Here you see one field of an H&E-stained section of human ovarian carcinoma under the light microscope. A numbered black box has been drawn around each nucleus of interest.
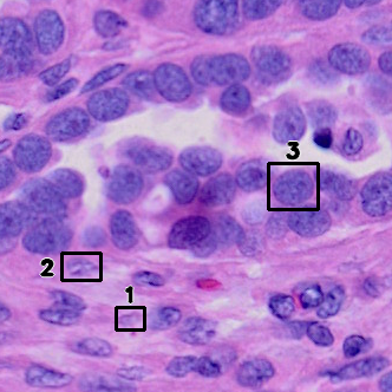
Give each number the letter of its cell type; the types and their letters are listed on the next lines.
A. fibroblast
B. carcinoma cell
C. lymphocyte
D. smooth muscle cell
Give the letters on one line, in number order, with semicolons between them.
A; A; B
